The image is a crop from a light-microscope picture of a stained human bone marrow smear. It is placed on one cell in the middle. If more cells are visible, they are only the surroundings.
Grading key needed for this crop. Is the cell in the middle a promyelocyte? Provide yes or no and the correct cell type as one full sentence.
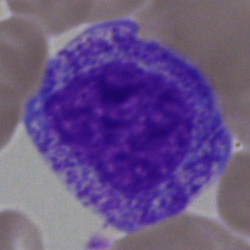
Yes, the cell at the middle of the field is to be classed as a promyelocyte.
